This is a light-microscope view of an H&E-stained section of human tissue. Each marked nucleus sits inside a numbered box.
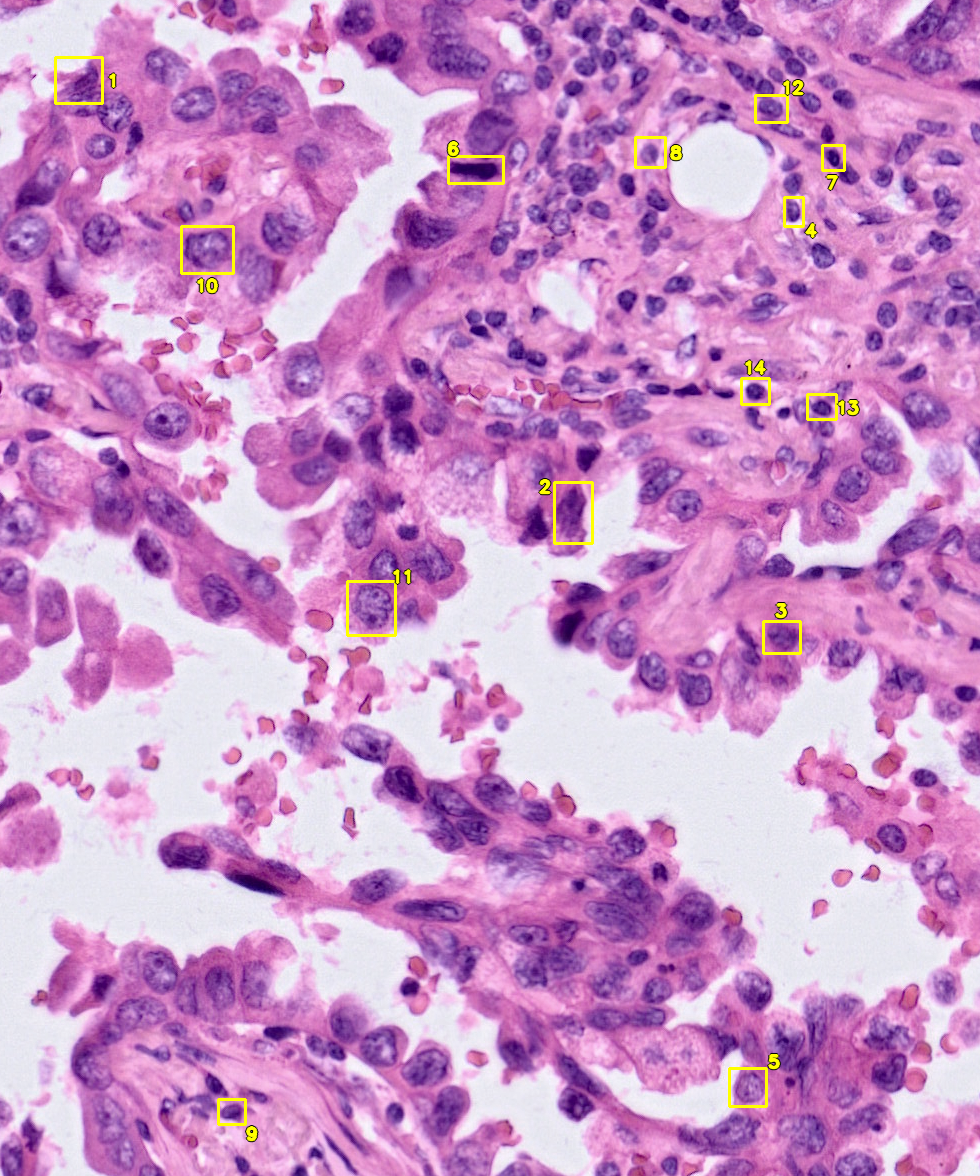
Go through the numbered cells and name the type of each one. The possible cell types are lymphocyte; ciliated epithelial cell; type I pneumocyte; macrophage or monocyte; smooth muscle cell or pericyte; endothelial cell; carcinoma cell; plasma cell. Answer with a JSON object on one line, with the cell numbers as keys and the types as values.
{"1": "carcinoma cell", "2": "carcinoma cell", "3": "carcinoma cell", "4": "lymphocyte", "5": "carcinoma cell", "6": "carcinoma cell", "7": "lymphocyte", "8": "lymphocyte", "9": "plasma cell", "10": "carcinoma cell", "11": "carcinoma cell", "12": "lymphocyte", "13": "lymphocyte", "14": "lymphocyte"}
